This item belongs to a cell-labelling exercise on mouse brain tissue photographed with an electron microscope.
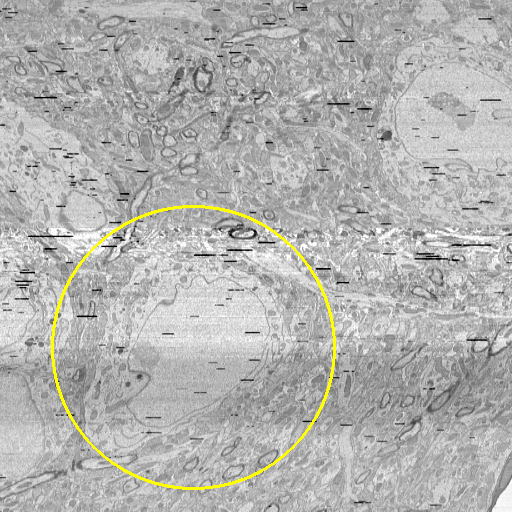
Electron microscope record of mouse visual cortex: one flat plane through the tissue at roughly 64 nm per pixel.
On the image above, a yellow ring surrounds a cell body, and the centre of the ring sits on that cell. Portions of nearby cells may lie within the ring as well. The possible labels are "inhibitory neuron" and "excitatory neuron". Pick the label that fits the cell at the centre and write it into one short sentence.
This cell should be labelled as an excitatory neuron.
